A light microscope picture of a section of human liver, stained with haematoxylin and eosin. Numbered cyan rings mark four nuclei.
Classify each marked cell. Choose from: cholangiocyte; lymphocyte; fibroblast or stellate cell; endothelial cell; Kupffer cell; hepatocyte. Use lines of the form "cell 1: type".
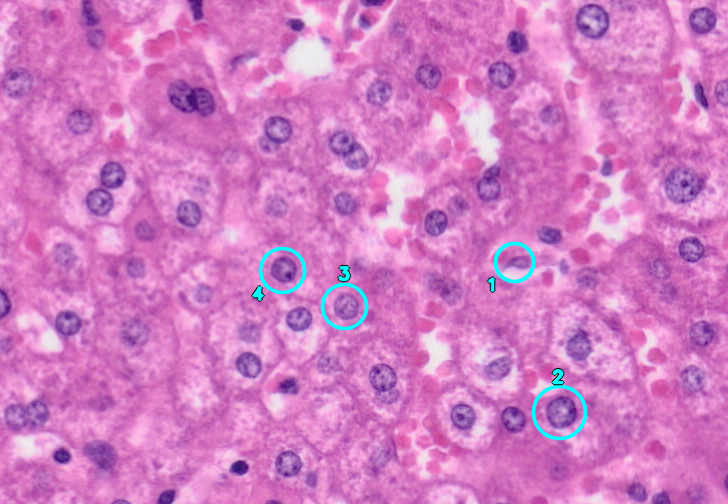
cell 1: Kupffer cell
cell 2: hepatocyte
cell 3: hepatocyte
cell 4: hepatocyte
